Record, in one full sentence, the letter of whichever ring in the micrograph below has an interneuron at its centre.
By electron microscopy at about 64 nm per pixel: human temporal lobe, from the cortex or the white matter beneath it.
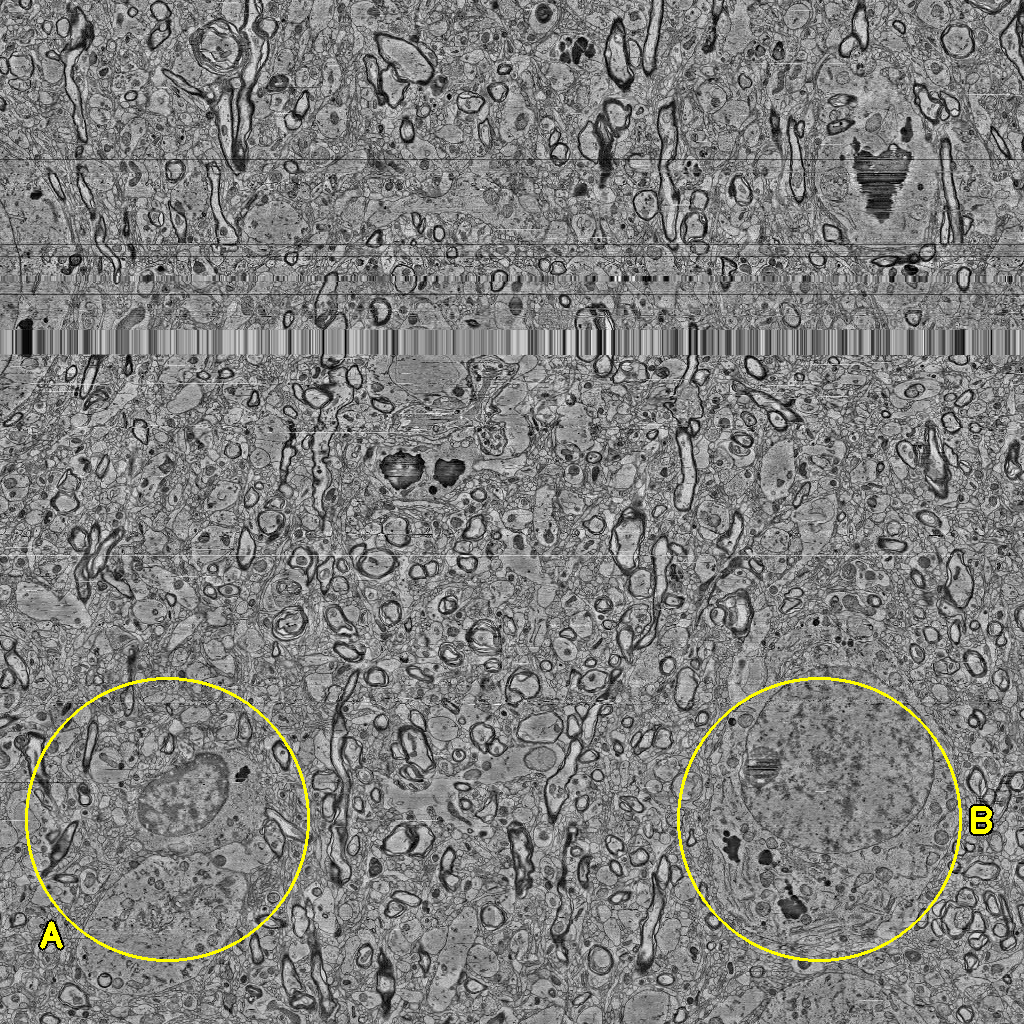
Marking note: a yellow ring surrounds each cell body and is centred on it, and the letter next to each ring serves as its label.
For the cell asked for, the ring centred on it carries the letter B.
